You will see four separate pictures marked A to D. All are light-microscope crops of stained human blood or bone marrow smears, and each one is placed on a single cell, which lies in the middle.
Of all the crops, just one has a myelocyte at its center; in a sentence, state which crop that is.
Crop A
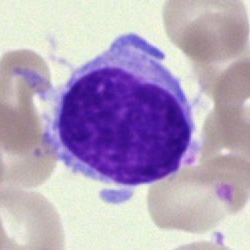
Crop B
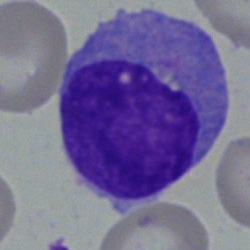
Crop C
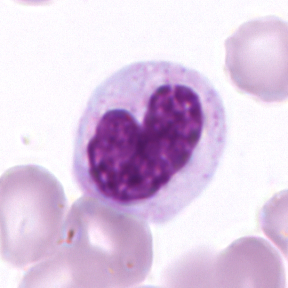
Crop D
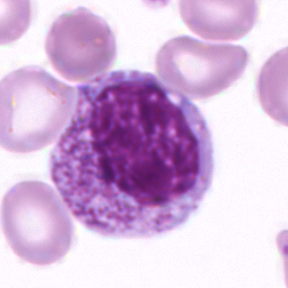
That would be crop D; it shows a myelocyte.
